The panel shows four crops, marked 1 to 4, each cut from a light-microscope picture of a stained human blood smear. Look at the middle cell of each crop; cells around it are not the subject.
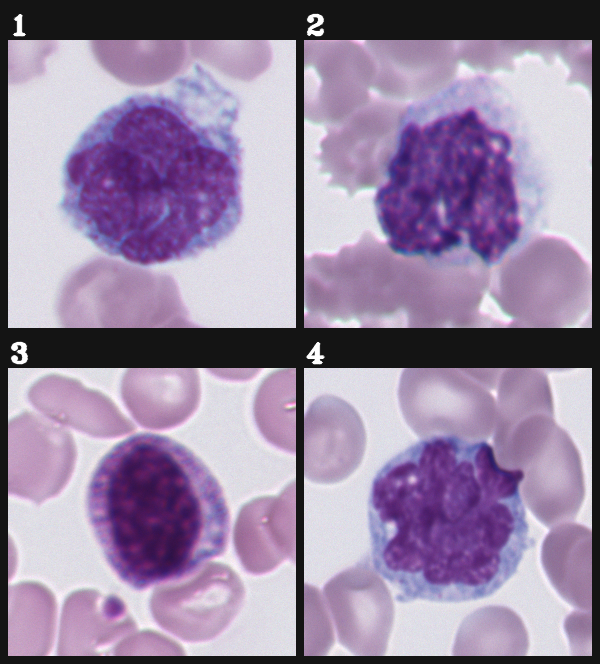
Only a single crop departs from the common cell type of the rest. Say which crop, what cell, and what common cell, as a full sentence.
In this set the other crops all show monocytes, and crop 3 shows a metamyelocyte.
